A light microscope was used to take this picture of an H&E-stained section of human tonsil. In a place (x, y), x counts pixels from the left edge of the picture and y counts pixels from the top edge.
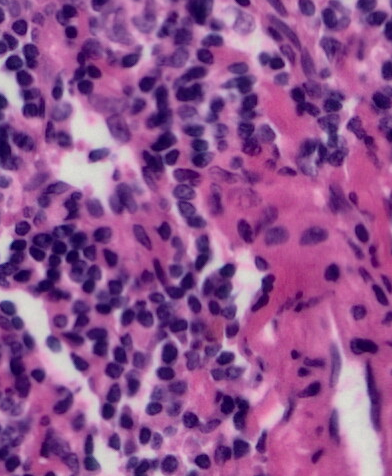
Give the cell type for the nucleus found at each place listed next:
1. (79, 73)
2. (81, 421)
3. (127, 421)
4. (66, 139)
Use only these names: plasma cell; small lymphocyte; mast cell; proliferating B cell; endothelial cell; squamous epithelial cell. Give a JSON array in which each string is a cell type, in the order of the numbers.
["endothelial cell", "endothelial cell", "plasma cell", "endothelial cell"]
